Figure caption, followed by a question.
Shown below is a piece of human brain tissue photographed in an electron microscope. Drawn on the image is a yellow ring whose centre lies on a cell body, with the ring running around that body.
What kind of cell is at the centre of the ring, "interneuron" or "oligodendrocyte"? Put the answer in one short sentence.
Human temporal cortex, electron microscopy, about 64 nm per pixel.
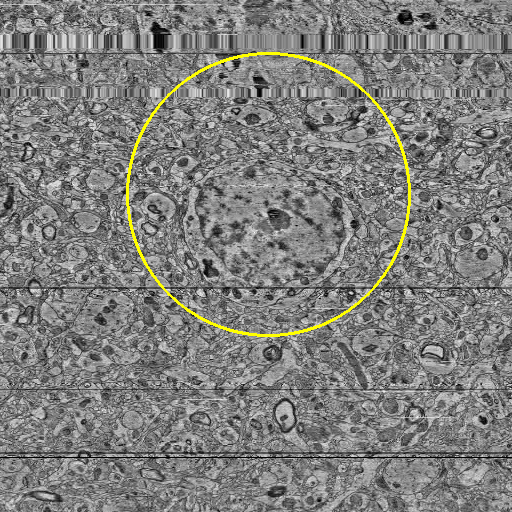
The ring marks the cell body of an interneuron.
